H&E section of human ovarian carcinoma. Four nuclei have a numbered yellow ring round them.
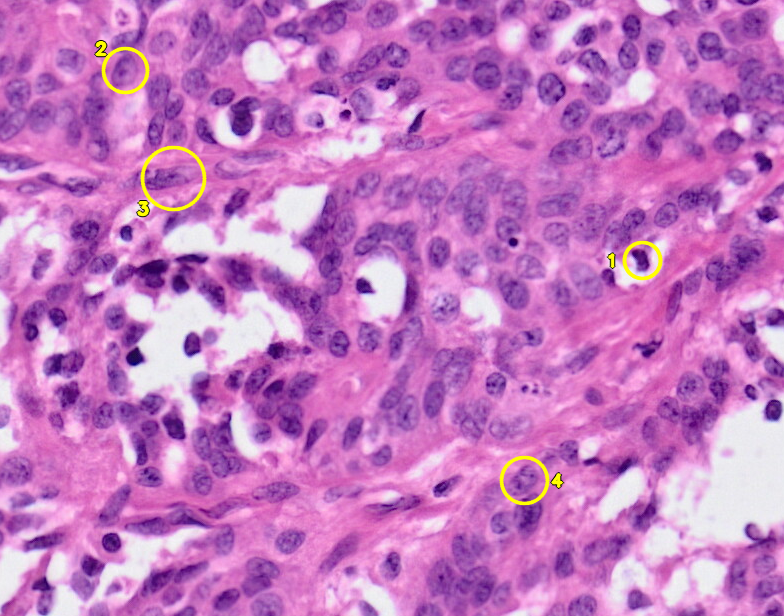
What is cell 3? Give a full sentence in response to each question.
Identified by the number 3, the cell is an endothelial cell.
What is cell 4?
Marked with the number 4, this cell is a carcinoma cell.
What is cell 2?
The marked cell bearing number 2 is a carcinoma cell.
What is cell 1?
The cell whose nucleus carries the number 1 is a carcinoma cell.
